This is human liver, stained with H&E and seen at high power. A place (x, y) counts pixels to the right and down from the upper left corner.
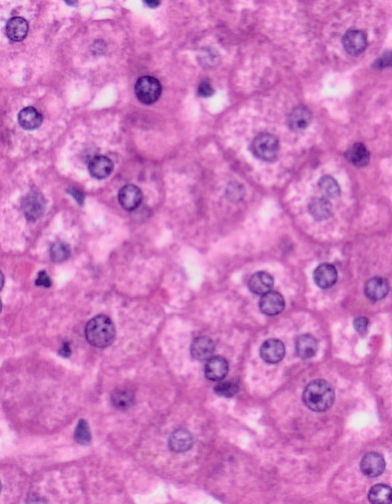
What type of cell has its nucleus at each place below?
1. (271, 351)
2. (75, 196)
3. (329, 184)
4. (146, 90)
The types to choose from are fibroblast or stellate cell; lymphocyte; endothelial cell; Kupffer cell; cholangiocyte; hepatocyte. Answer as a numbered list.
1. hepatocyte
2. endothelial cell
3. hepatocyte
4. hepatocyte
